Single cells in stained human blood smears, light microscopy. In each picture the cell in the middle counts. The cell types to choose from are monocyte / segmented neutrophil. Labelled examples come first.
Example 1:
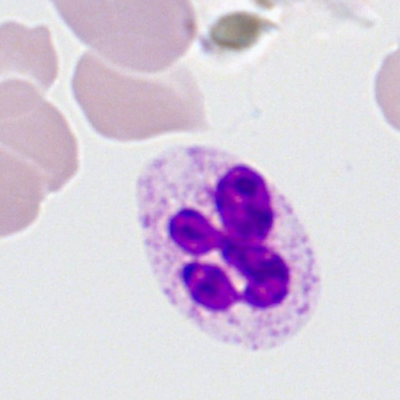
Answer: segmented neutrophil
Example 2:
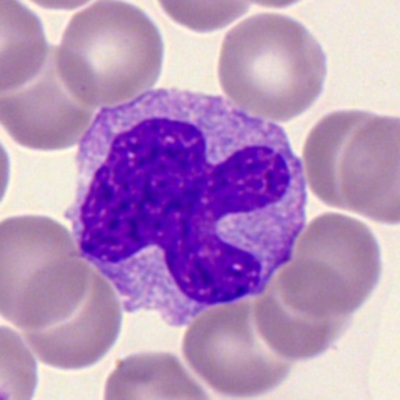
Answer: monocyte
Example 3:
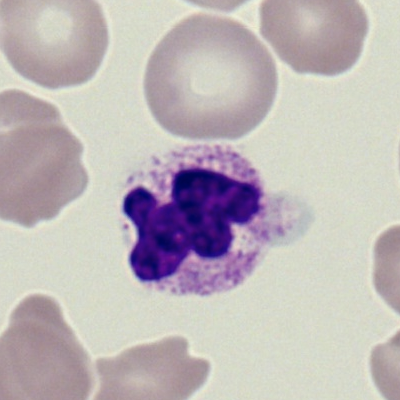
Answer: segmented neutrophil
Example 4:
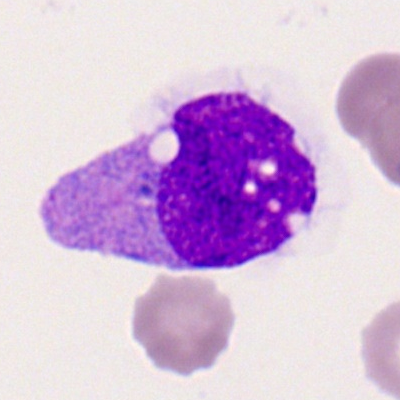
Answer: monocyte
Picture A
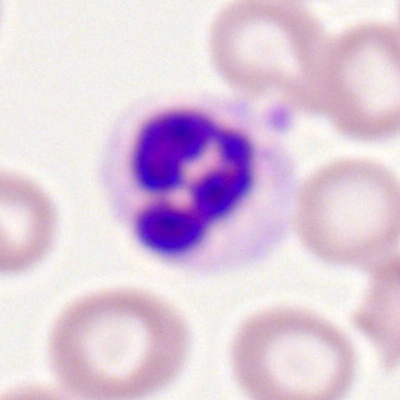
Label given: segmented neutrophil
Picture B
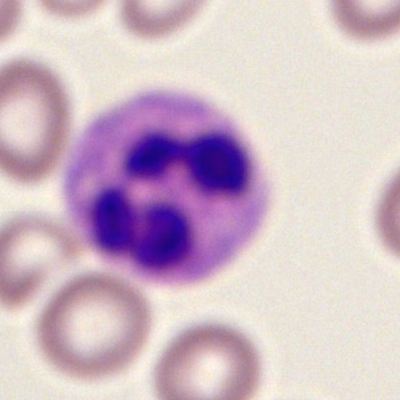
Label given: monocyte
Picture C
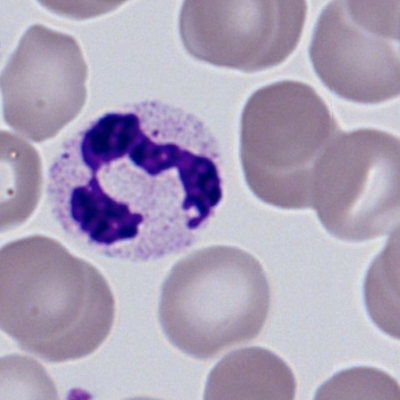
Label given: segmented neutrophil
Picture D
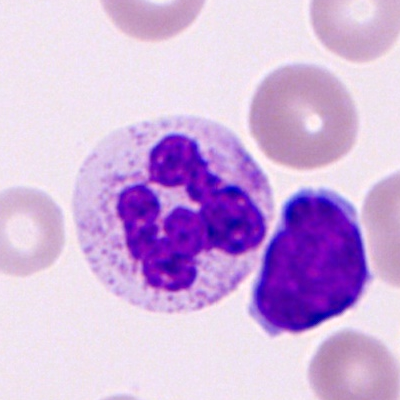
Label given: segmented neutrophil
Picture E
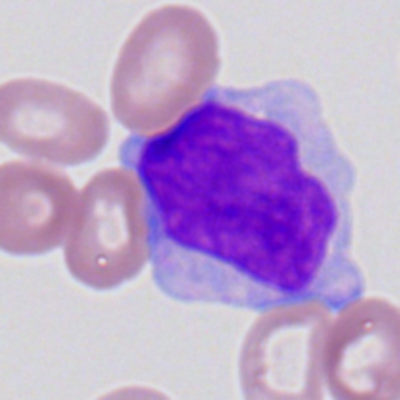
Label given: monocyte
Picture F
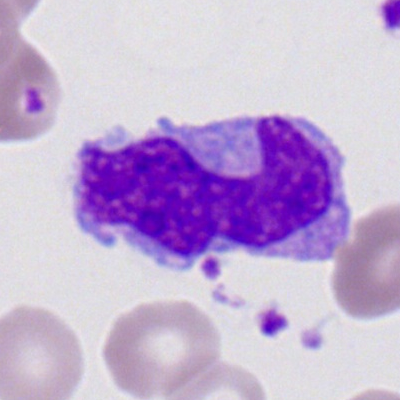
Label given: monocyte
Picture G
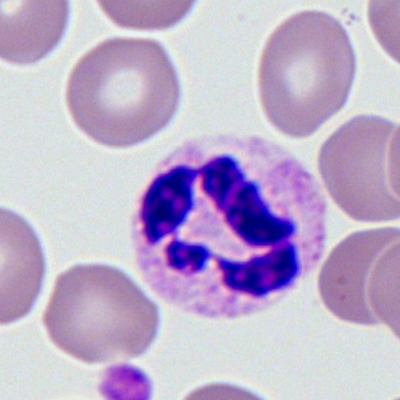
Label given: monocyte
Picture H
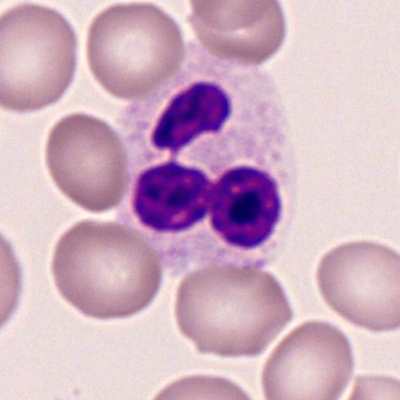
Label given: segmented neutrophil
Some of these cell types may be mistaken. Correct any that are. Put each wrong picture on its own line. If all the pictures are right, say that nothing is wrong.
Wrong: B (monocyte); correct: segmented neutrophil
Wrong: G (monocyte); correct: segmented neutrophil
